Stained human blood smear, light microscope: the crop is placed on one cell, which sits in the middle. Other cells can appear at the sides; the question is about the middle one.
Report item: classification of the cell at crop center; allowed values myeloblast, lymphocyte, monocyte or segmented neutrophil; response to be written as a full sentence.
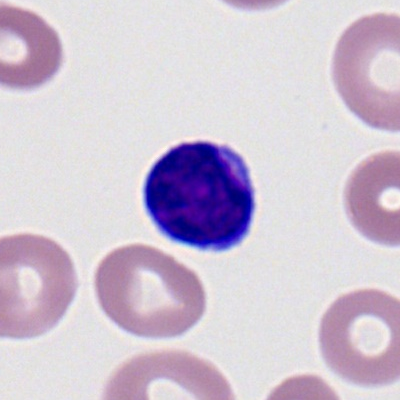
The cell in the middle of this crop is a lymphocyte.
